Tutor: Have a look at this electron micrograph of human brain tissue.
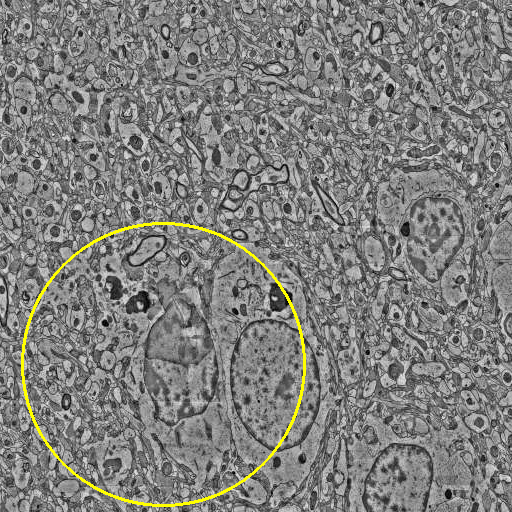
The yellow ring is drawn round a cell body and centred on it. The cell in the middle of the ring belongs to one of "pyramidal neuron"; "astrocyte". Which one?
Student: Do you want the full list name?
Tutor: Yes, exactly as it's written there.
astrocyte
